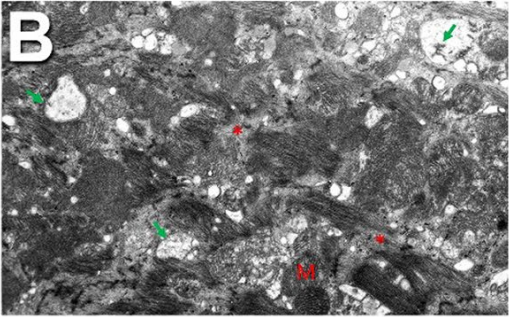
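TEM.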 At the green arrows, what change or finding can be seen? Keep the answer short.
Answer: mitochondrial vacuolization with crystolysis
